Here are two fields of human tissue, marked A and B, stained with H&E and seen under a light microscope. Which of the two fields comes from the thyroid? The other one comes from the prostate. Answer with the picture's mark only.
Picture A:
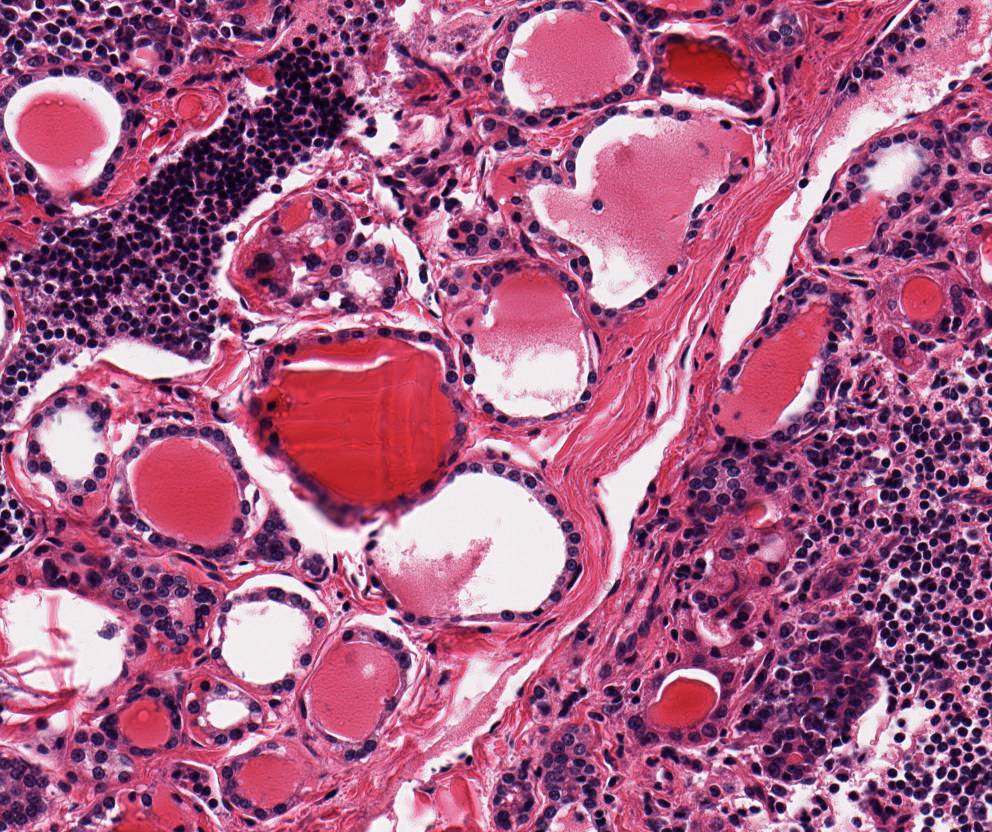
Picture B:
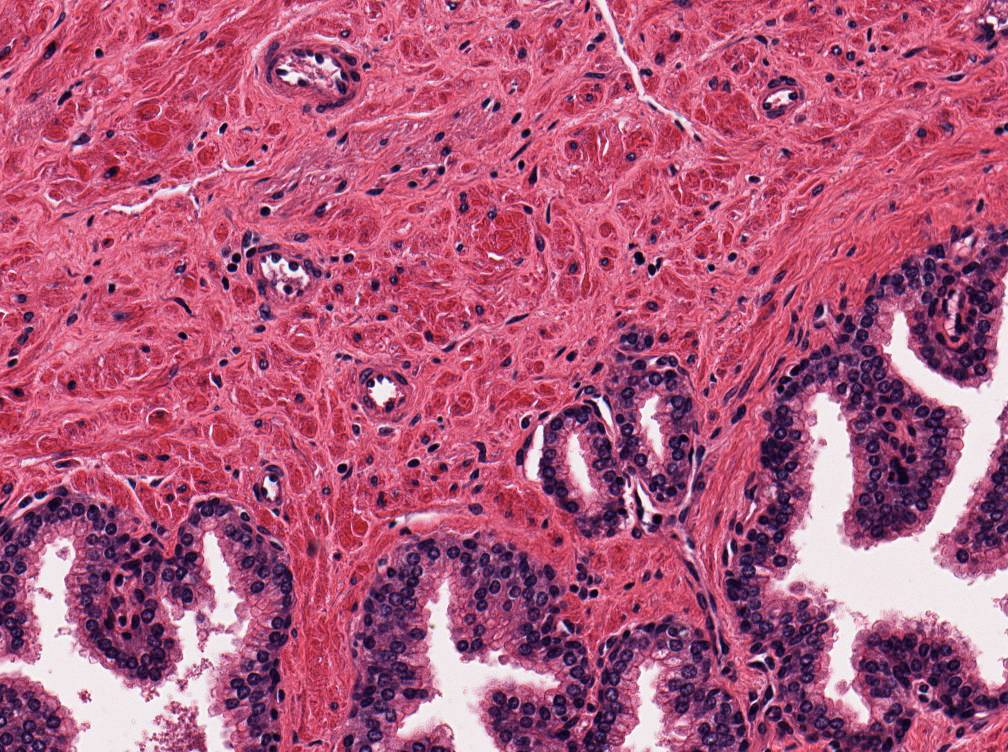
A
